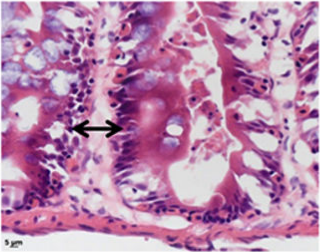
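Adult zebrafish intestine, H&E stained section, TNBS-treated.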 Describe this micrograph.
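The folds are lined by columnar epithelium with pink cytoplasm, but here they look broader, and the tissue is crowded with many dark purple nuclei, both along the epithelium and in the core of the folds. Some goblet cells appear as pale rounded vacuoles within the lining. Between the folds, the lumen contains loose pinkish material and scattered cells. The pink muscular wall is visible at the bottom of the field.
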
